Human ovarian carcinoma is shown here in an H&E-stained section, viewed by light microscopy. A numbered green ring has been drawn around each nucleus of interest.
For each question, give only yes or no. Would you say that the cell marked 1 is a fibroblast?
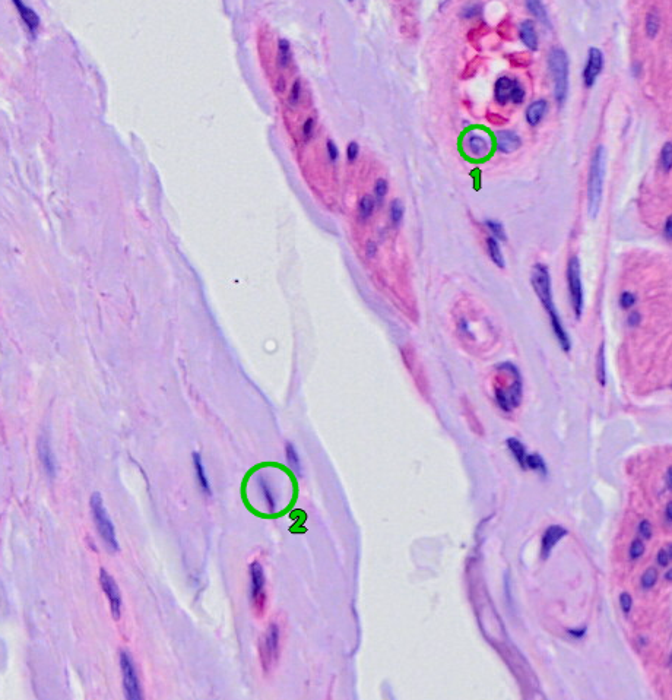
no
